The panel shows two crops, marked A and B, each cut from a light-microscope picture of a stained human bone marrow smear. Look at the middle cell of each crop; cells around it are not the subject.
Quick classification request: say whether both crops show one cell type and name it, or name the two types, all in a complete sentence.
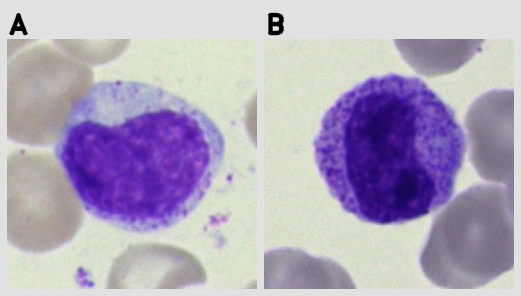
No, crop A displays a myelocyte, and crop B displays a metamyelocyte.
